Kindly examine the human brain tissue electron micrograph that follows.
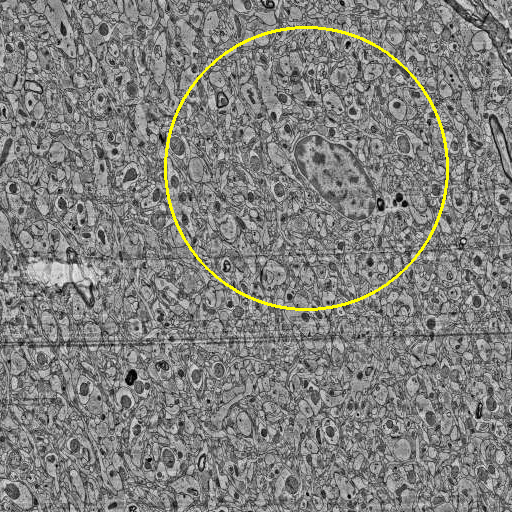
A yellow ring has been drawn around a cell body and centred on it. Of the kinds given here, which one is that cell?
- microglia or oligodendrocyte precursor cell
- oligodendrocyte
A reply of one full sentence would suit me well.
The micrograph's ringed cell, the one at the ring's centre, is a microglial cell or oligodendrocyte precursor cell.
